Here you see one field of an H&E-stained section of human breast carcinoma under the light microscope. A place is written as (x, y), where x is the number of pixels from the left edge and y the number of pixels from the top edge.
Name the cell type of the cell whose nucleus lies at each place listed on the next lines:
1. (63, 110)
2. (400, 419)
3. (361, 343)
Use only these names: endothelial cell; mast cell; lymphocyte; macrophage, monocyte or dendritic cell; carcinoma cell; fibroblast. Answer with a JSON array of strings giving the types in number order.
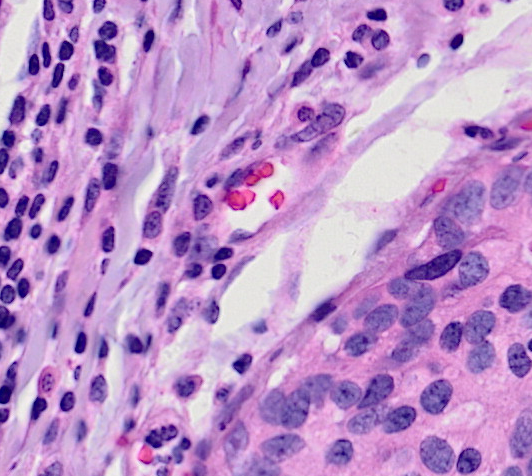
["lymphocyte", "carcinoma cell", "carcinoma cell"]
